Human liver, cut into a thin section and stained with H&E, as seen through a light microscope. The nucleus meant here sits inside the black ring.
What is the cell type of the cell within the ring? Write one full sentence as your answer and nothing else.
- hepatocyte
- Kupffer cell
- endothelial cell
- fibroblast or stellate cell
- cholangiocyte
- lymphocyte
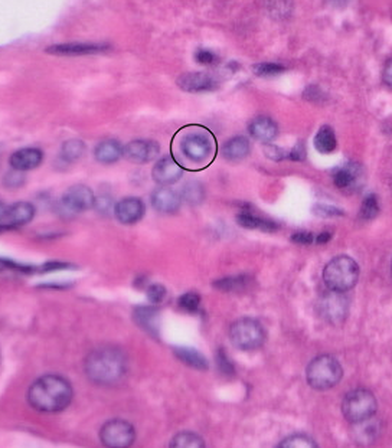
It is as a cholangiocyte that the cell within the ring is recorded.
